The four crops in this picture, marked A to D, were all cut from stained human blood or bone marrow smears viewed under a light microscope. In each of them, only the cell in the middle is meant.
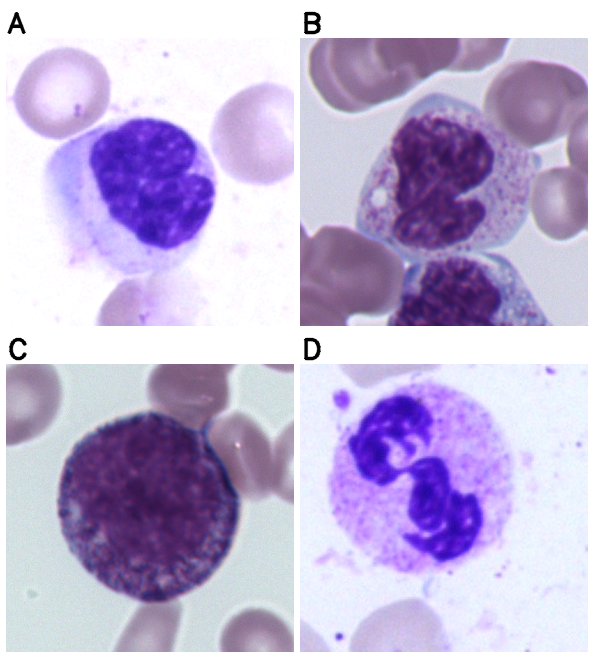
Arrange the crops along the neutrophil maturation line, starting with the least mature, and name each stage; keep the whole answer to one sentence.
The order of the crops by rising maturity is crop C (a promyelocyte), crop A (a metamyelocyte), crop B (a band neutrophil) and crop D (a segmented neutrophil).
